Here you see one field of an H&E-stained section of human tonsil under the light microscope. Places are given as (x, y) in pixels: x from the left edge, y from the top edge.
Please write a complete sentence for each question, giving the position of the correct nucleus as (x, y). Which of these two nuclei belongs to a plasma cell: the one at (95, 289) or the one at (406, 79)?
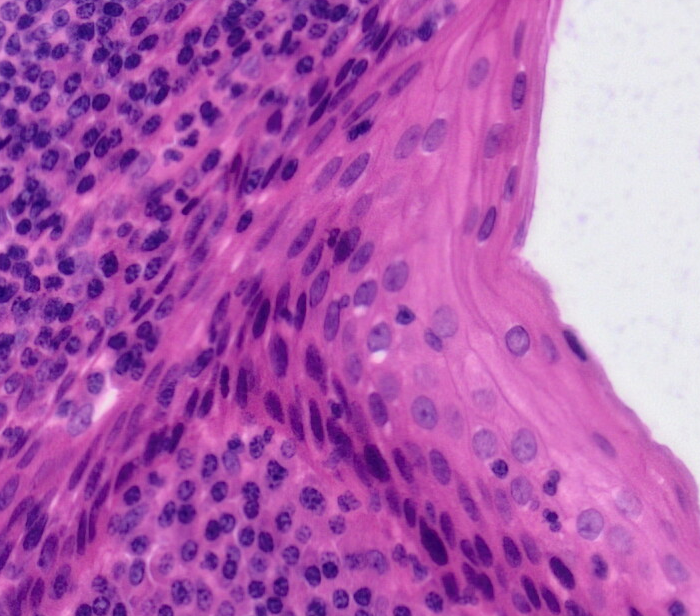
The nucleus at (95, 289) is the one of the two that belongs to a plasma cell.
